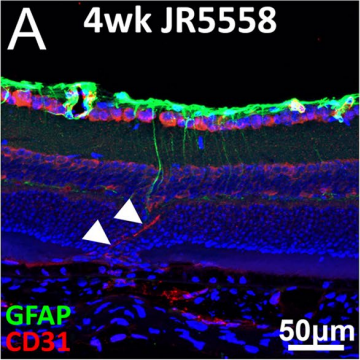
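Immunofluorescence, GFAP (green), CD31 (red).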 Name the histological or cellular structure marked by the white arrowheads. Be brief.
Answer: Neovessels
